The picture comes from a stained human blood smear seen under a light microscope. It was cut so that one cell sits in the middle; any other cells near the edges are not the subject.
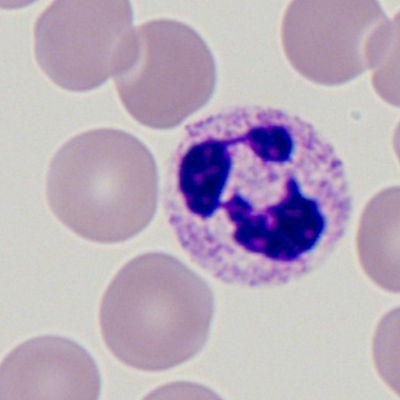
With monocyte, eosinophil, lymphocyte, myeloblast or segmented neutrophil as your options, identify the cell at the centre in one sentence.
The cell of interest, located centrally, is a segmented neutrophil.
